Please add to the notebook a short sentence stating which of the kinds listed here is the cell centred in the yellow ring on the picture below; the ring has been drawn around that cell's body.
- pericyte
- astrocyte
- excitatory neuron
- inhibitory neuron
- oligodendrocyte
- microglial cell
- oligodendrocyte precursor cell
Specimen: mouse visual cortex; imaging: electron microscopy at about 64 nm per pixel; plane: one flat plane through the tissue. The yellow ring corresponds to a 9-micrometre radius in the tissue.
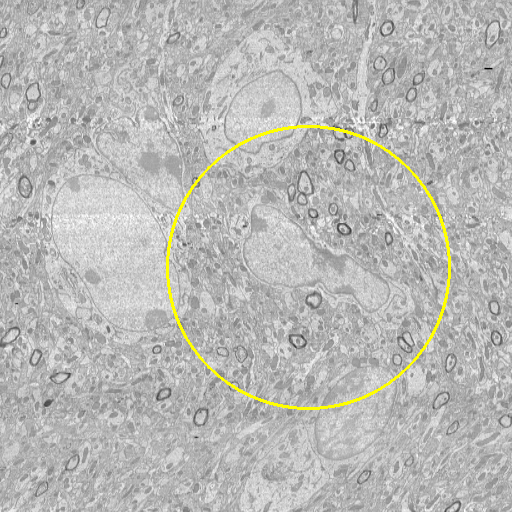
The cell centred in the yellow ring is an oligodendrocyte precursor cell.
